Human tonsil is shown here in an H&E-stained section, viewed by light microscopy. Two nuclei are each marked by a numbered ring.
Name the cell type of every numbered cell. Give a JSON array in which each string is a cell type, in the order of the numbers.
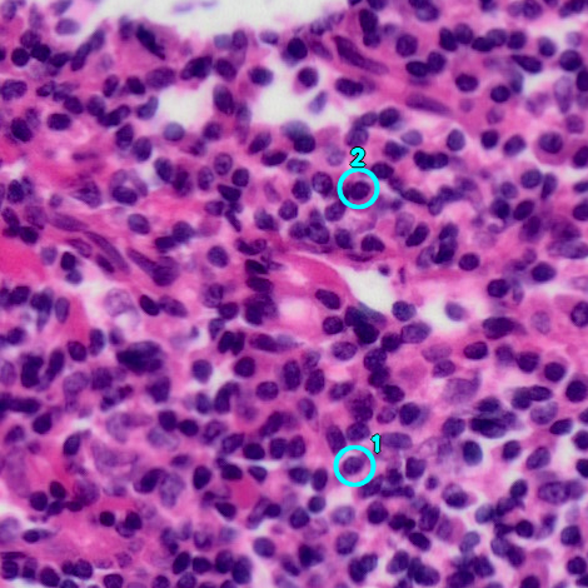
["small lymphocyte", "plasma cell"]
